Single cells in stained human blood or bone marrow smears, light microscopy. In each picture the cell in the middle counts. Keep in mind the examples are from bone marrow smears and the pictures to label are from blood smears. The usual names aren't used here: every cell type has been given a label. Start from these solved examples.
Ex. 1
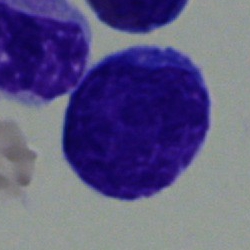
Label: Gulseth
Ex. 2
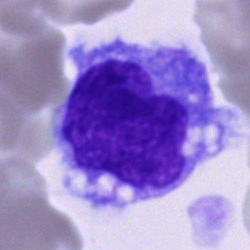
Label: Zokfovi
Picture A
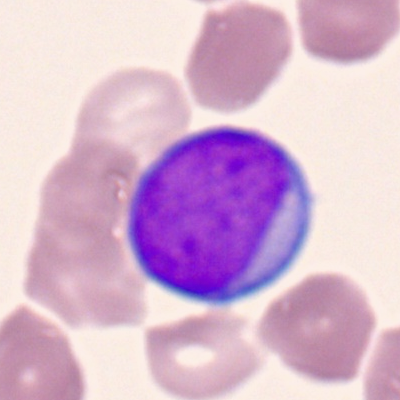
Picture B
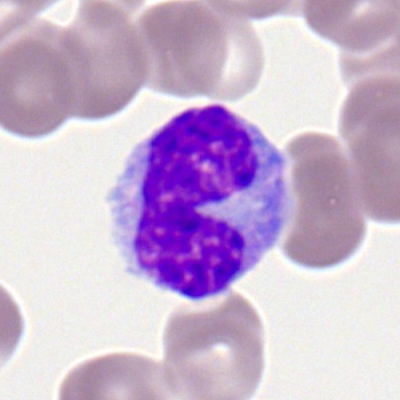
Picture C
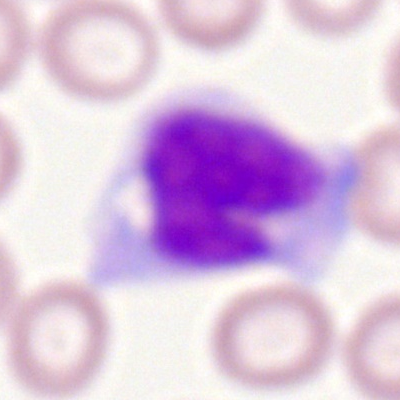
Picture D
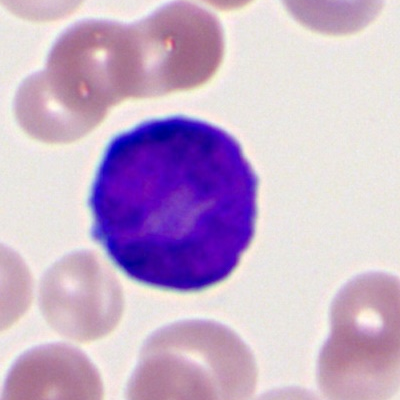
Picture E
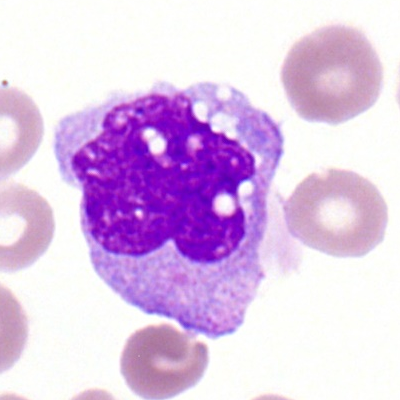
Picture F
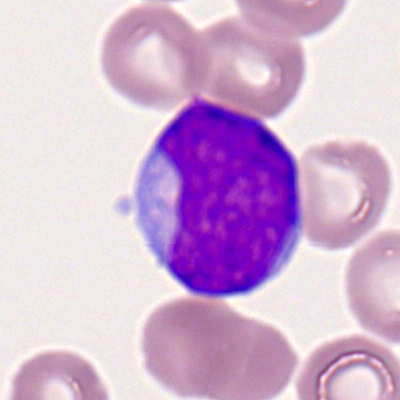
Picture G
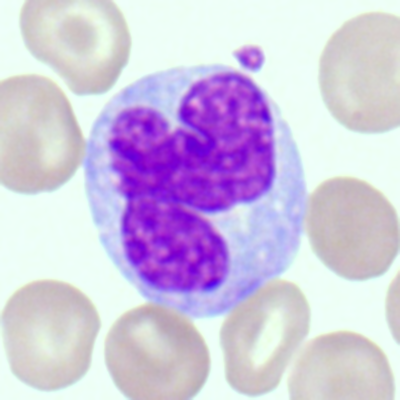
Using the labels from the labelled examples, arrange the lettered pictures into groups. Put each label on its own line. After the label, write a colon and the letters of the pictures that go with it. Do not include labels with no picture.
Gulseth: A, D, F
Zokfovi: B, C, E, G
